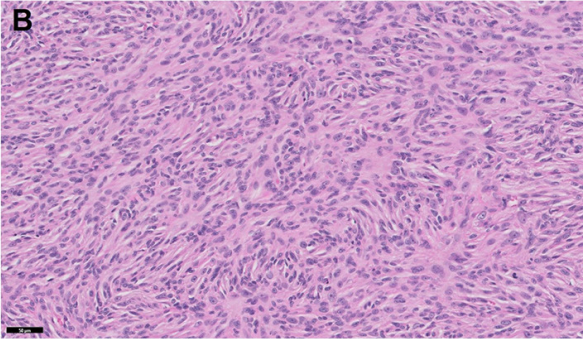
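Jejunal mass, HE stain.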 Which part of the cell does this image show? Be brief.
Wispy eosinophilic cytoplasm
